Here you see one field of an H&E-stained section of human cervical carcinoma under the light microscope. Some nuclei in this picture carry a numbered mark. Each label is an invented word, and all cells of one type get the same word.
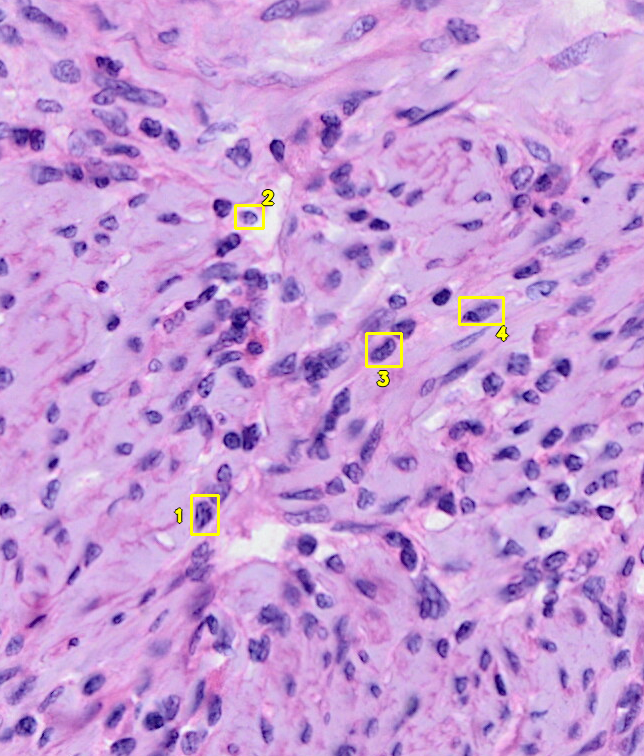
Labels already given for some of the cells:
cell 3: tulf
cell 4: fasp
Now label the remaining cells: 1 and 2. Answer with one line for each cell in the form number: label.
1: tulf
2: tulf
